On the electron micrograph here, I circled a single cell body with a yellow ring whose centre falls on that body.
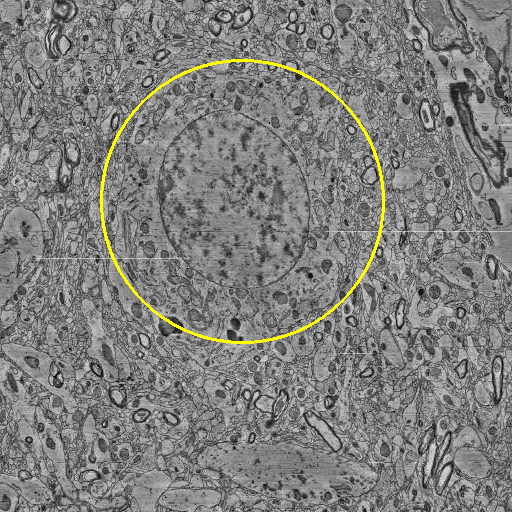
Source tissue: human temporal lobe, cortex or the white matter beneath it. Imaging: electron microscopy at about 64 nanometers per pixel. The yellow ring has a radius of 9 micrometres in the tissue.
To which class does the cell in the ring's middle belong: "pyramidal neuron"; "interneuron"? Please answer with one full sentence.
In this picture, the cell body circled at the ring's centre belongs to an interneuron.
